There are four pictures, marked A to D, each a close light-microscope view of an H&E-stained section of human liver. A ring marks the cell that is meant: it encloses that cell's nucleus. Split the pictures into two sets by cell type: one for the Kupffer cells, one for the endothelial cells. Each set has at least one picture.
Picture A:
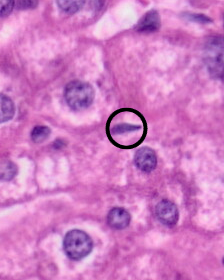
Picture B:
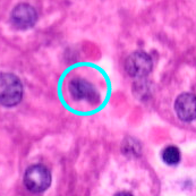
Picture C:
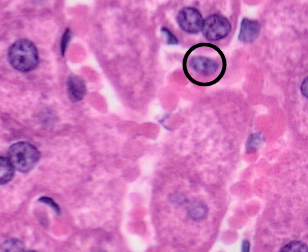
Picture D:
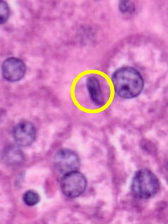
A: endothelial cell
B: endothelial cell
C: Kupffer cell
D: endothelial cell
